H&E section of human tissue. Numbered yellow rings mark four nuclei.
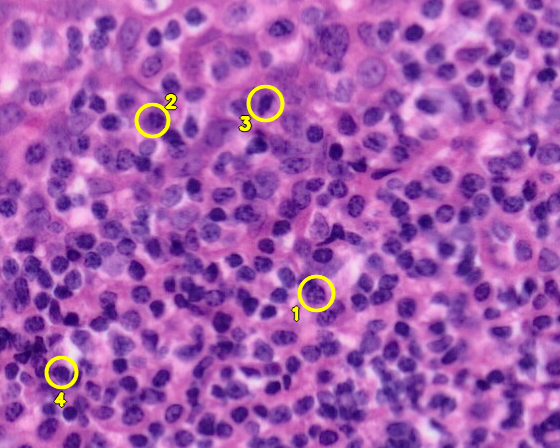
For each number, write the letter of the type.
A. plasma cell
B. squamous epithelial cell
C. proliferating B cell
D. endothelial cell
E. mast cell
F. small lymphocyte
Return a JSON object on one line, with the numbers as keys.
{"1": "A", "2": "A", "3": "B", "4": "F"}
